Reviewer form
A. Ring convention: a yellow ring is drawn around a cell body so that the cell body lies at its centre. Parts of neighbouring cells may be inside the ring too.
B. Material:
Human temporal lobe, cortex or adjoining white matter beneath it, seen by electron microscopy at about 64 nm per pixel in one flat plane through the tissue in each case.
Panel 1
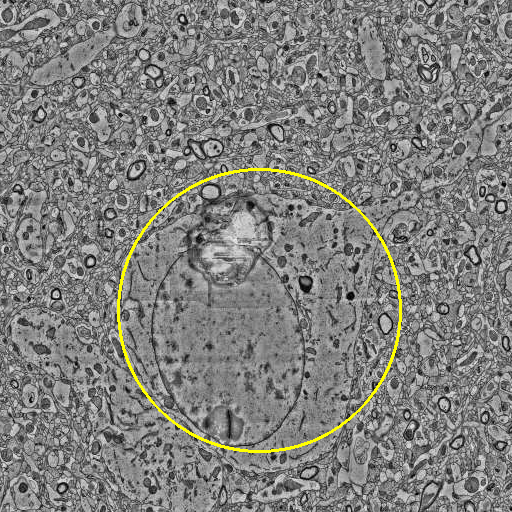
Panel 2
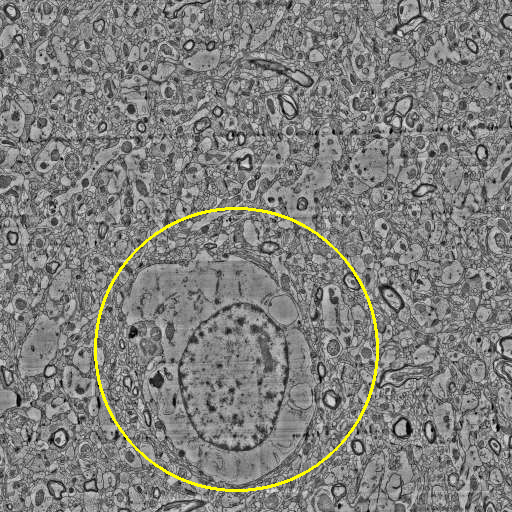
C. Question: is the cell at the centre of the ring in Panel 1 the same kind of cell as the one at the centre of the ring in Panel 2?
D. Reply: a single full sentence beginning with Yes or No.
No, the cells in Panel 1 and Panel 2 are two kinds of cell.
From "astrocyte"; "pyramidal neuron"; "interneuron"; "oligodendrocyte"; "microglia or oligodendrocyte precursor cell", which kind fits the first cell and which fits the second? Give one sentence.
The cell marked in the first picture is a pyramidal neuron, and the one marked in the second is an astrocyte.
